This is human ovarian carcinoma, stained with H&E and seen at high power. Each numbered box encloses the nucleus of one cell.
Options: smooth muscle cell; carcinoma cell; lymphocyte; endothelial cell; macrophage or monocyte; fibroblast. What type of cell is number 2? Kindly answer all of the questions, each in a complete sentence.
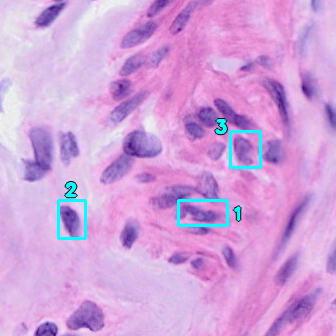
The numeral 2 marks a fibroblast in this section.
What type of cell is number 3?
What the number 3 marks in this field is a smooth muscle cell.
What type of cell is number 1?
Among the marked cells, number 1 is a smooth muscle cell.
